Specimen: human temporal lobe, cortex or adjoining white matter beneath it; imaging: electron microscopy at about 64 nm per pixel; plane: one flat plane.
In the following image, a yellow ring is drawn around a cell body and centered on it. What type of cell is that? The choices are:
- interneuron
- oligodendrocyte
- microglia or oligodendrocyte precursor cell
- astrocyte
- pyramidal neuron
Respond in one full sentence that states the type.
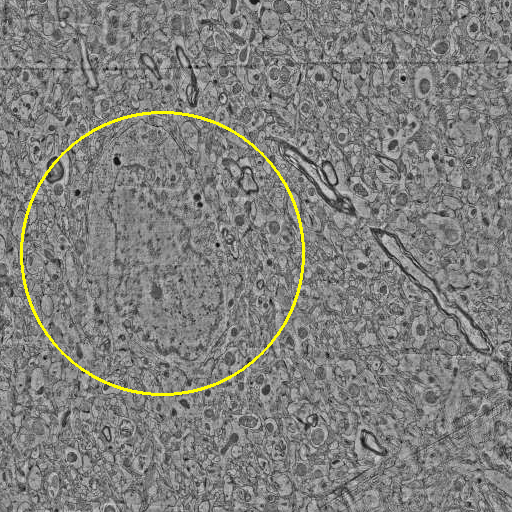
The cell at the center of the yellow ring in the image is an interneuron.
